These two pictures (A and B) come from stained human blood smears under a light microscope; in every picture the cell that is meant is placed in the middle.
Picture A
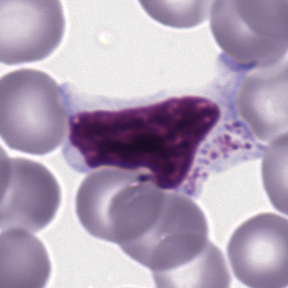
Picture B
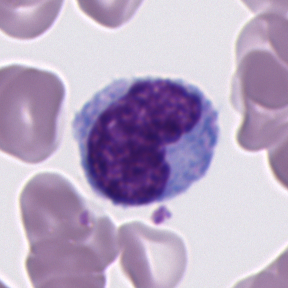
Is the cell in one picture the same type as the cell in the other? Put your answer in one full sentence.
No; the cell in picture A is a large granular lymphocyte, while the one in picture B is a monocyte.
